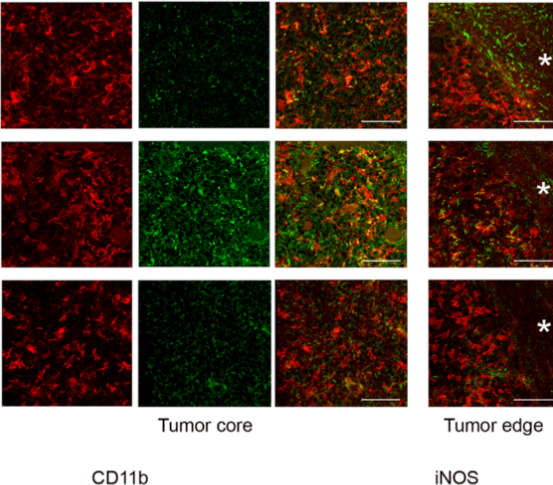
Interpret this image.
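The red cells lie scattered densely through the field, with small, irregular bodies, some rounded and some with short processes. A separate green label appears as fine dots and short streaks among them, and where red and green coincide in the merged images the overlap shows as yellow-orange.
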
